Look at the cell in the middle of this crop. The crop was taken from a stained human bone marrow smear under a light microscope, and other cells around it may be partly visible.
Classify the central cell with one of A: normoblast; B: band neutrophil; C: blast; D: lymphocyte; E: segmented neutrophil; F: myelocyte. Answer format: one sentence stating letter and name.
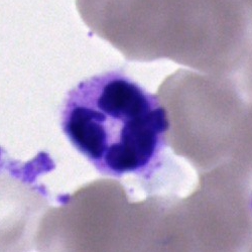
The cell at the centre, correctly named in option E, is a segmented neutrophil.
